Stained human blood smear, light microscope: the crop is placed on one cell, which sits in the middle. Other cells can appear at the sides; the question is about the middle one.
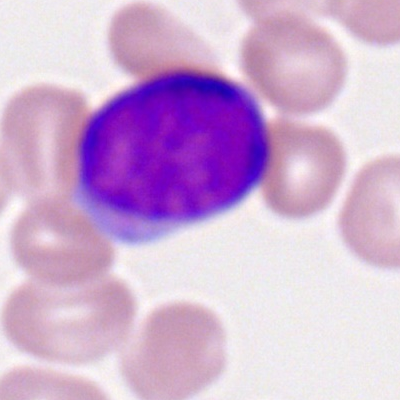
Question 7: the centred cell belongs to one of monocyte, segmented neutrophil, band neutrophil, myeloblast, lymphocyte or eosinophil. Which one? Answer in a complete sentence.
Occupying the centre of the crop is a myeloblast.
